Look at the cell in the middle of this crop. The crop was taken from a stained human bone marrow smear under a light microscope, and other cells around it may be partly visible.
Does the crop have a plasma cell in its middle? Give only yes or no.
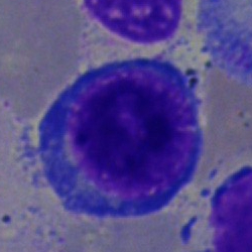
no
